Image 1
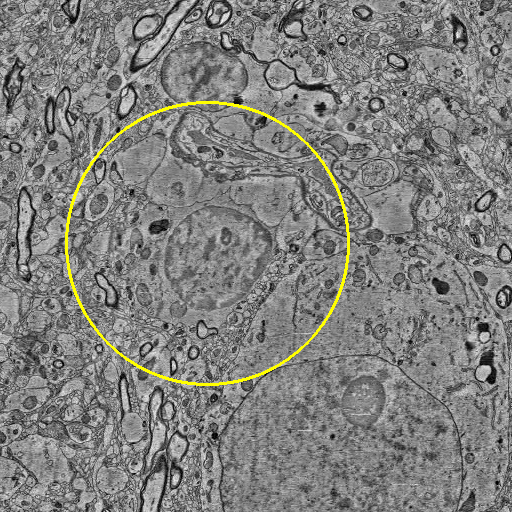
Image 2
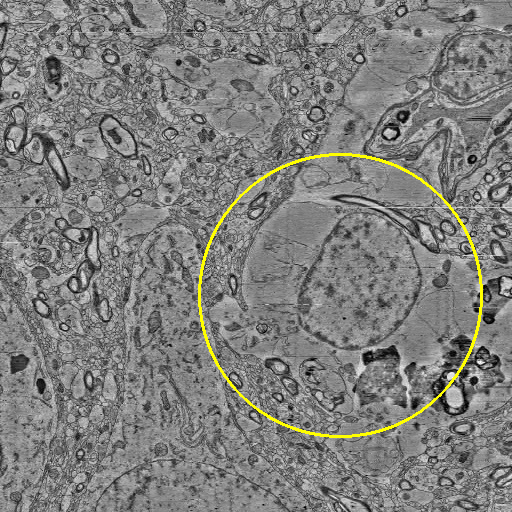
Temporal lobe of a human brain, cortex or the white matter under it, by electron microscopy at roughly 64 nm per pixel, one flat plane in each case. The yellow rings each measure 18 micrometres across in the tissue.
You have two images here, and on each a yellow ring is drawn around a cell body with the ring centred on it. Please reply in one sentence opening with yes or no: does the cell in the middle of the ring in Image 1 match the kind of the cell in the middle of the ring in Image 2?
No, the two images show cells of two kinds at the centres of their rings.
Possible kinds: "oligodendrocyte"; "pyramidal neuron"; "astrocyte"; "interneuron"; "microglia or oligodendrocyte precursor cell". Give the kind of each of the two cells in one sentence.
The cell in the second picture is an astrocyte, and that in the first is an oligodendrocyte.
